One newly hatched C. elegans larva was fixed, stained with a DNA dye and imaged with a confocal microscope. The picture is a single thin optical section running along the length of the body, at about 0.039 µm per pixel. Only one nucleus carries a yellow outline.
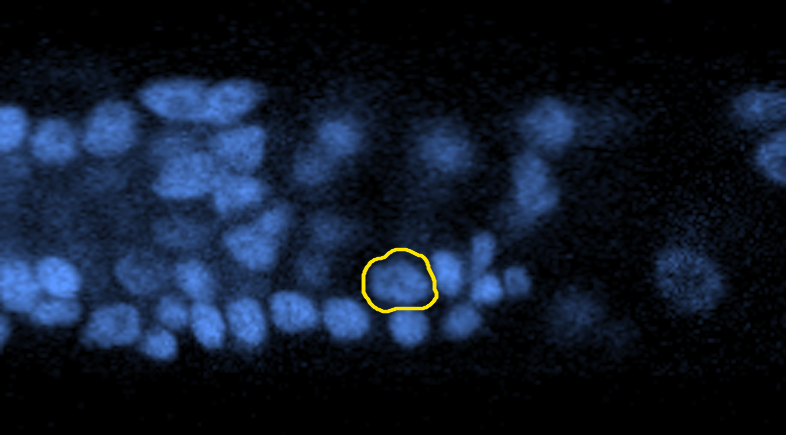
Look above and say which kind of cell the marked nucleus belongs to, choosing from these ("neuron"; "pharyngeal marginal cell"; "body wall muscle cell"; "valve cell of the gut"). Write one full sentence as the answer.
The nucleus comes from a pharyngeal marginal cell.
